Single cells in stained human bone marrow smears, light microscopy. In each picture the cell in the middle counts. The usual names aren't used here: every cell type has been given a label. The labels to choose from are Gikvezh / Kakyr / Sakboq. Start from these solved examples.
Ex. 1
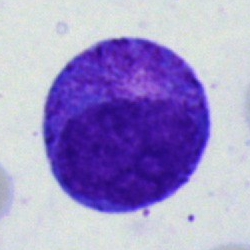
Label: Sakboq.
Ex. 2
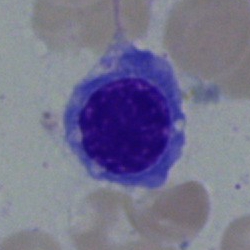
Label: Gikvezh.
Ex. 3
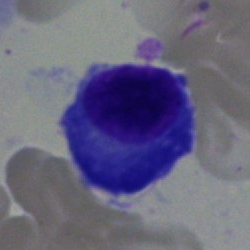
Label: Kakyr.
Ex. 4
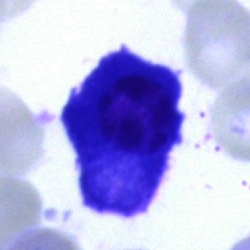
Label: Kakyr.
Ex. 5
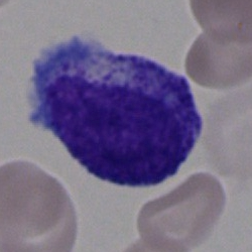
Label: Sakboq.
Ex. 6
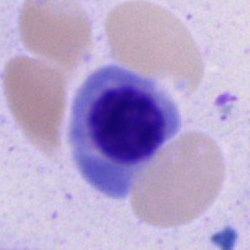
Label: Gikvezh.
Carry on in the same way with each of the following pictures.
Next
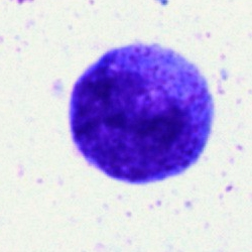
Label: Sakboq.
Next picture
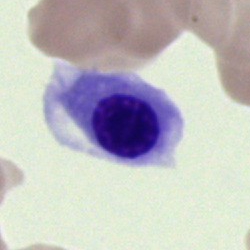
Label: Gikvezh.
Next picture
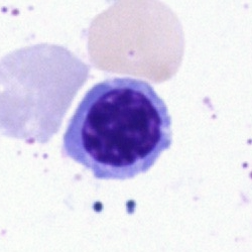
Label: Gikvezh.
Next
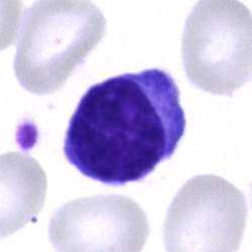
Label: Kakyr.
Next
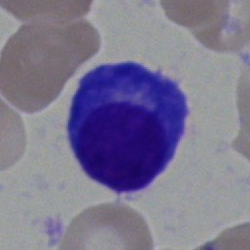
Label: Kakyr.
